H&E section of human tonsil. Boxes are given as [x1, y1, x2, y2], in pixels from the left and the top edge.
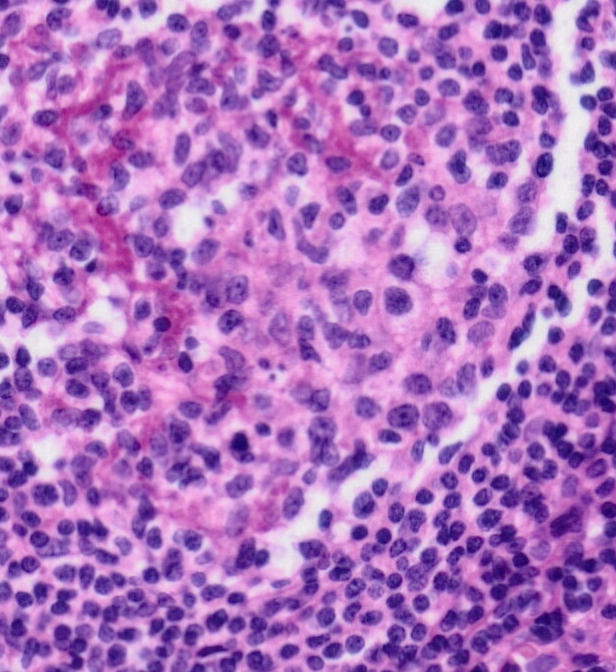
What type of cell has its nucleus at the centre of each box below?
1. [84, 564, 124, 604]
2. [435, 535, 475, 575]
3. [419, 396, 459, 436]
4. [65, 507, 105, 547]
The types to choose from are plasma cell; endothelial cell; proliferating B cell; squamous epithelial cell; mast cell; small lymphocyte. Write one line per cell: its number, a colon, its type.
1: small lymphocyte
2: small lymphocyte
3: proliferating B cell
4: small lymphocyte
